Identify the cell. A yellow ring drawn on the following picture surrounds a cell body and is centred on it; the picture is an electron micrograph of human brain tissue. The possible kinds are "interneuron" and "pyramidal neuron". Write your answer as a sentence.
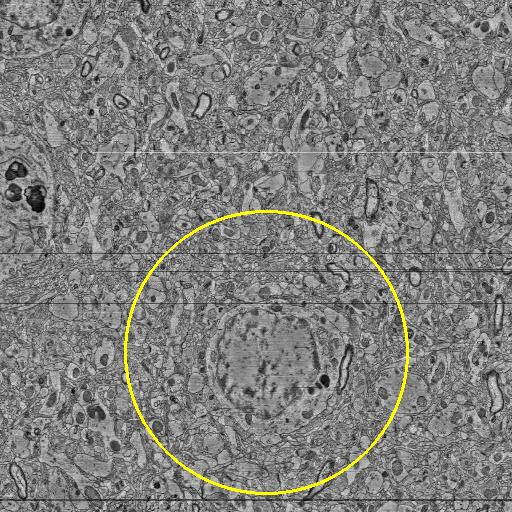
The cell identified by the ring is an interneuron.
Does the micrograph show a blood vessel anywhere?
No, no blood vessel shows in the picture.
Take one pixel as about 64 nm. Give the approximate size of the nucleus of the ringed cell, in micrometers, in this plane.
In this plane, the nucleus measures approximately 7 micrometres across.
